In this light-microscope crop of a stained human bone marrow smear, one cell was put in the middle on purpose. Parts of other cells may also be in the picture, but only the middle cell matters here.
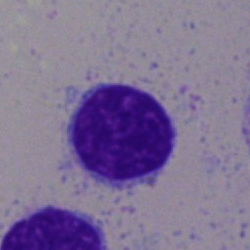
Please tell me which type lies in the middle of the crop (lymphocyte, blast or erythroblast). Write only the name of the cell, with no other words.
lymphocyte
